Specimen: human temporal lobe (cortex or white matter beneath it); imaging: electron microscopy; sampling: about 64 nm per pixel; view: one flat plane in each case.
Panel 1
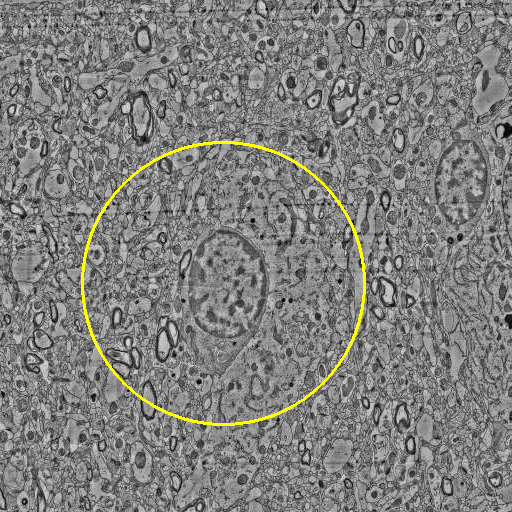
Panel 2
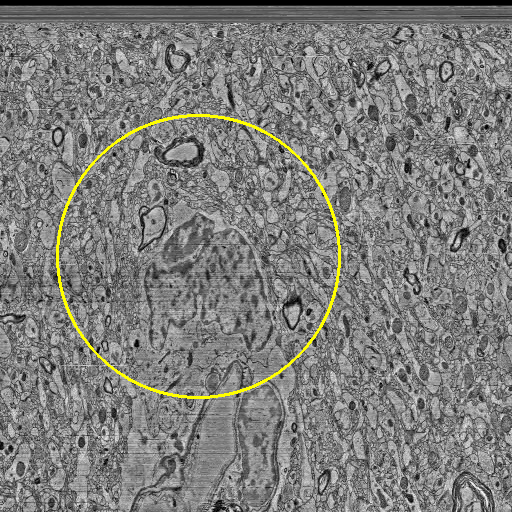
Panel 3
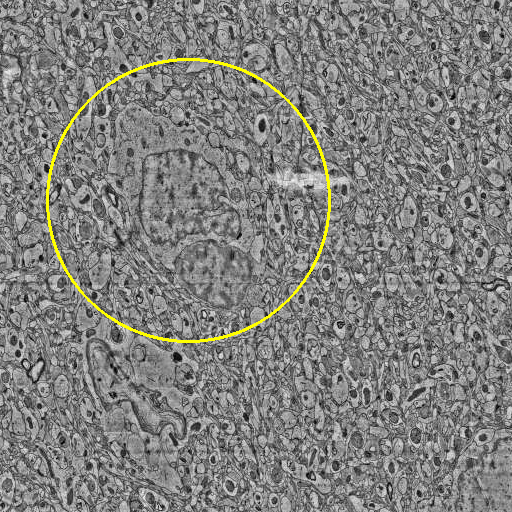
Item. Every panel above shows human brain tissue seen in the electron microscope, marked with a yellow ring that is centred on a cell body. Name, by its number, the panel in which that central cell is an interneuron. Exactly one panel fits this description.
3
